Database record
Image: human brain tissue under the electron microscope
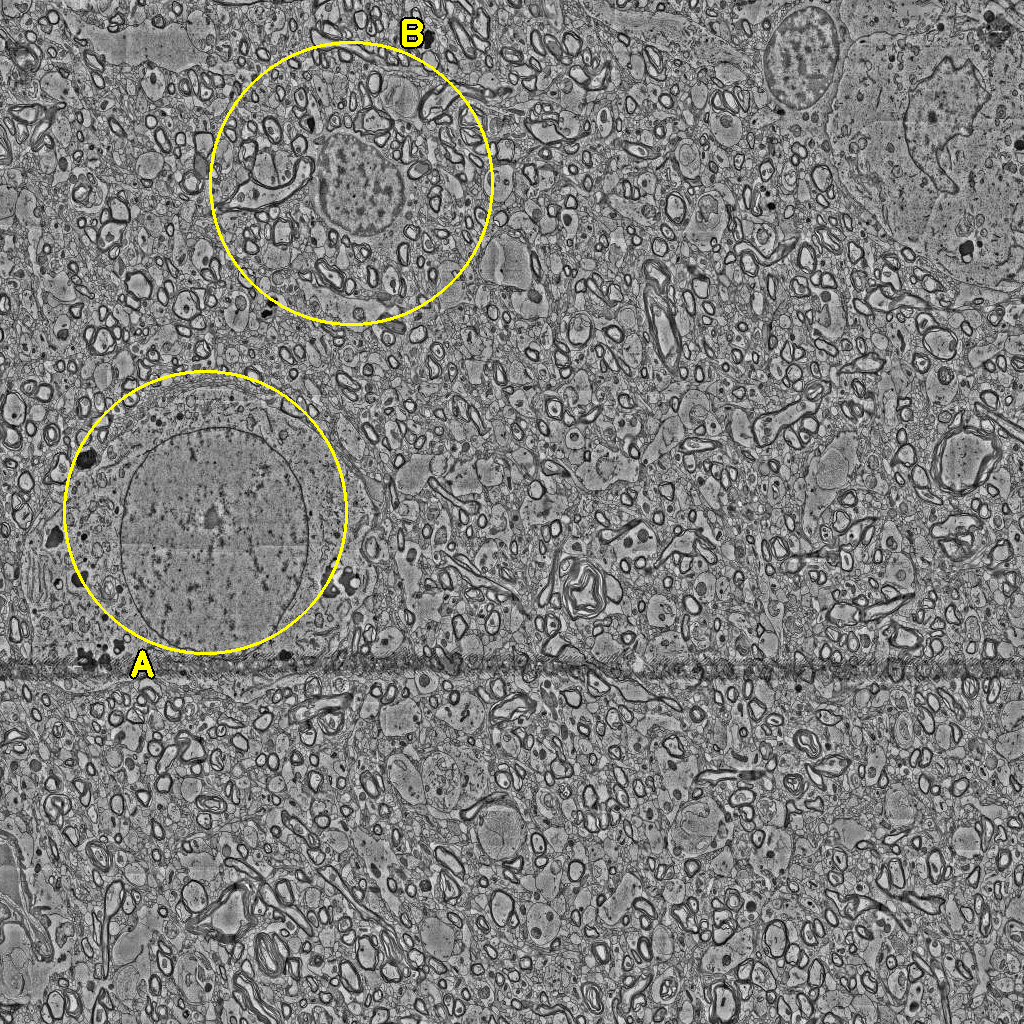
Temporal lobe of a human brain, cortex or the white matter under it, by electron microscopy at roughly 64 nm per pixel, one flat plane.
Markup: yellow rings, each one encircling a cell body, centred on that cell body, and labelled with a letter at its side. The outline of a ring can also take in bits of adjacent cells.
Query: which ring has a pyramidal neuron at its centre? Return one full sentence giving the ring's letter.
In this image, that kind of cell lies at the centre of the ring labelled A.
